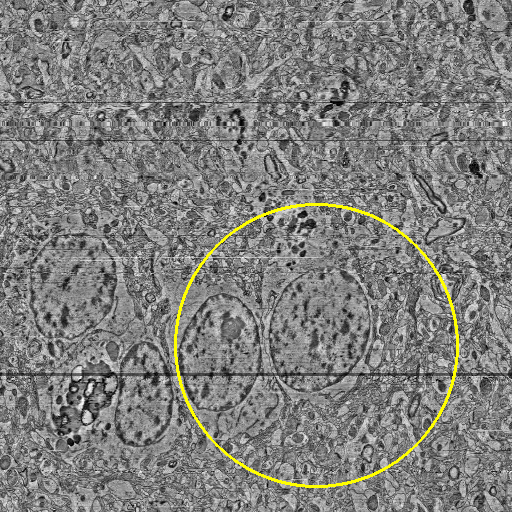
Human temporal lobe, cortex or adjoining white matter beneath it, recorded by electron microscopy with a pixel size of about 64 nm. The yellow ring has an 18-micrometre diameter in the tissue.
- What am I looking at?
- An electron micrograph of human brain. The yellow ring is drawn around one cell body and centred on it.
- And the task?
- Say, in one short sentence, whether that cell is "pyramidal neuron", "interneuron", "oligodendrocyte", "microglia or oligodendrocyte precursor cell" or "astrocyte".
The cell in the middle of the ring is an astrocyte.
